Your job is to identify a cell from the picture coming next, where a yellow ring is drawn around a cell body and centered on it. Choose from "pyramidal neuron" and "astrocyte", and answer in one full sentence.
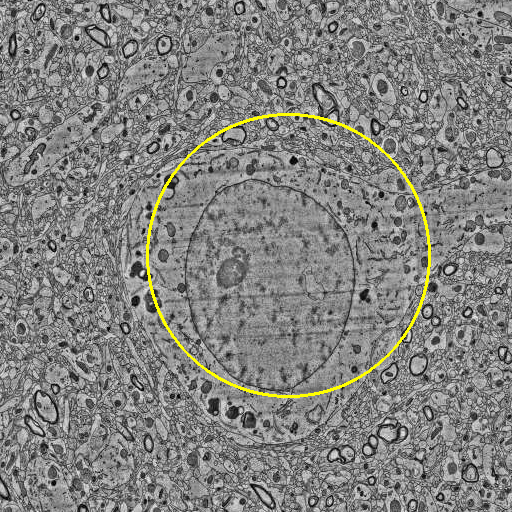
Centered in the yellow ring of the picture is the body of a pyramidal neuron.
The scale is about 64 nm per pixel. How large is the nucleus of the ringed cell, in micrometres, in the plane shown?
About 14 by 11 micrometers for the nucleus, in this plane.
